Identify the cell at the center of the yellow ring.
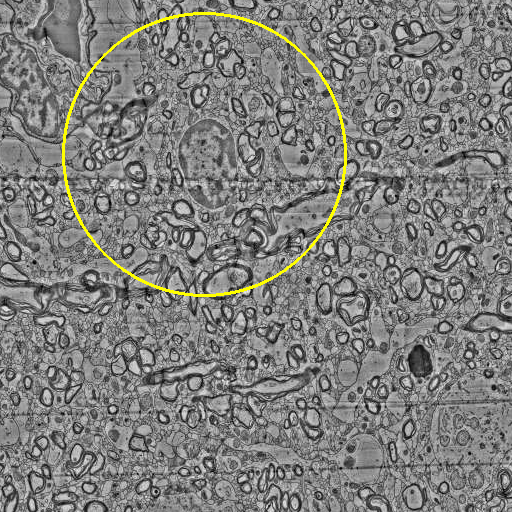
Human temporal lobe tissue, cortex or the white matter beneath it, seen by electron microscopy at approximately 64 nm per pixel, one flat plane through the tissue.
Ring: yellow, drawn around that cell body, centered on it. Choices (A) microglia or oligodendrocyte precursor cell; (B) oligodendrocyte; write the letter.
A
